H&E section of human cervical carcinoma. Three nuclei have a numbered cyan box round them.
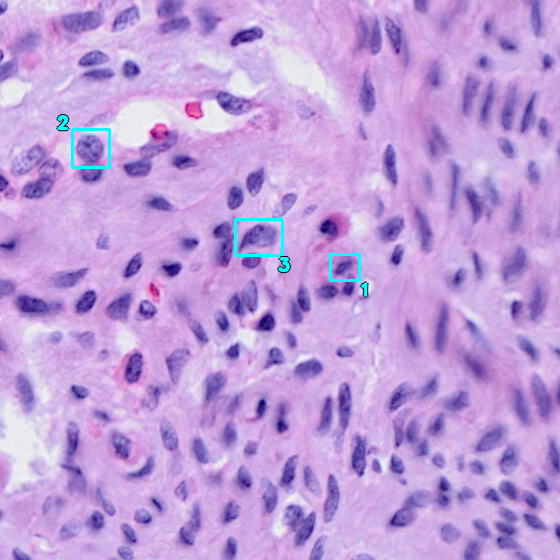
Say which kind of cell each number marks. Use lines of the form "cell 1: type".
cell 1: endothelial cell
cell 2: endothelial cell
cell 3: fibroblast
